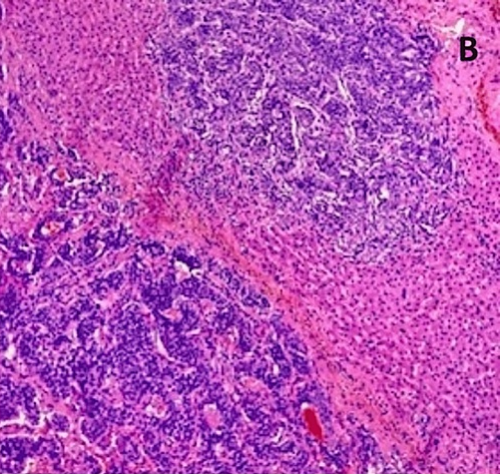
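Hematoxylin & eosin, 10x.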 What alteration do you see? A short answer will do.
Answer: solid nests of tumor cells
